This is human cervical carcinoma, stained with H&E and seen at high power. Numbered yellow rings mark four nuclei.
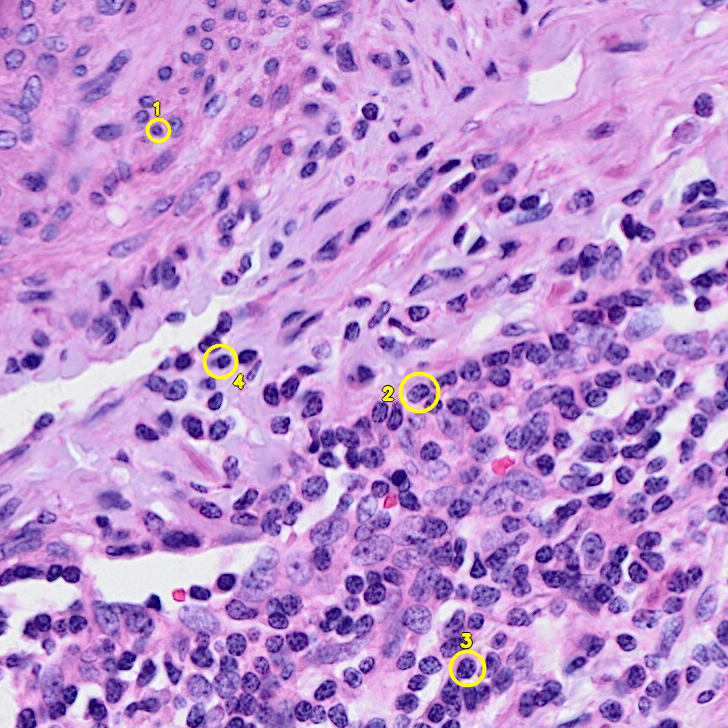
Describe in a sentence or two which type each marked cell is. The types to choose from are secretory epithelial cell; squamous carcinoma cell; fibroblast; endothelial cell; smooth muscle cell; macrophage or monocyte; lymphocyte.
Cell 1 is a smooth muscle cell, cell 2 is a lymphocyte, cell 3 is a lymphocyte and cell 4 is a lymphocyte.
